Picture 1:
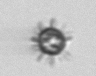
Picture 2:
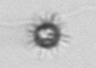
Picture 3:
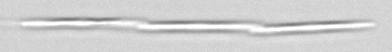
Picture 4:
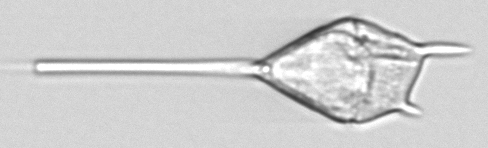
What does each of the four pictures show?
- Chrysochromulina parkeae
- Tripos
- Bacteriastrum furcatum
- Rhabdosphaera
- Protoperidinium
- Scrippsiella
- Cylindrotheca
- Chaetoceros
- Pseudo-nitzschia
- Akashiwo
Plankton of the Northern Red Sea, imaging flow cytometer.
1: Rhabdosphaera
2: Rhabdosphaera
3: Pseudo-nitzschia
4: Tripos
